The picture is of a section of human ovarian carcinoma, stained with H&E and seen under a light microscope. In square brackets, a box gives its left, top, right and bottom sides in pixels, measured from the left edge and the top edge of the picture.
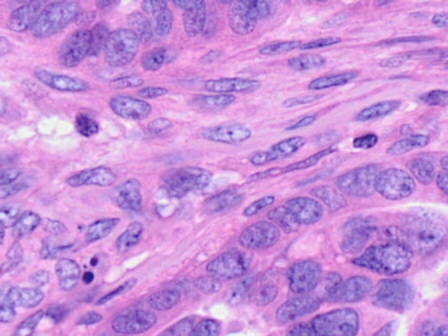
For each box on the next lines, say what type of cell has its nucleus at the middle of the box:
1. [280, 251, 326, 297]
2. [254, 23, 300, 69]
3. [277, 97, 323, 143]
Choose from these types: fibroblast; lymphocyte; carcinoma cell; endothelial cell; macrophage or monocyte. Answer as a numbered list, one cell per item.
1. carcinoma cell
2. fibroblast
3. fibroblast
